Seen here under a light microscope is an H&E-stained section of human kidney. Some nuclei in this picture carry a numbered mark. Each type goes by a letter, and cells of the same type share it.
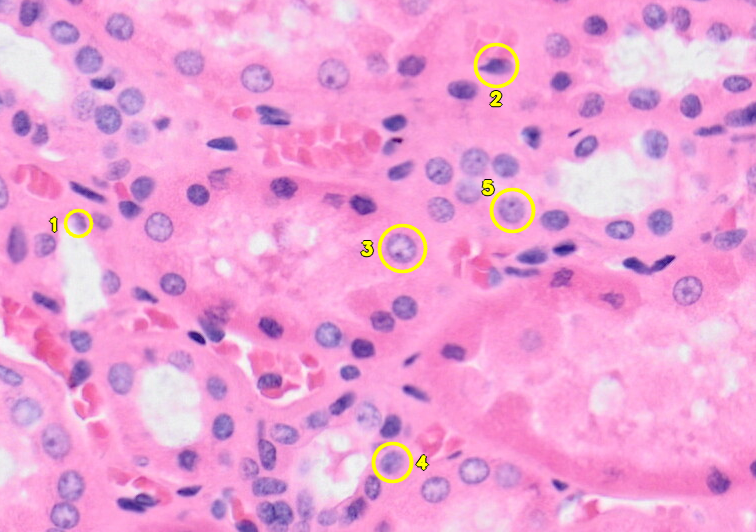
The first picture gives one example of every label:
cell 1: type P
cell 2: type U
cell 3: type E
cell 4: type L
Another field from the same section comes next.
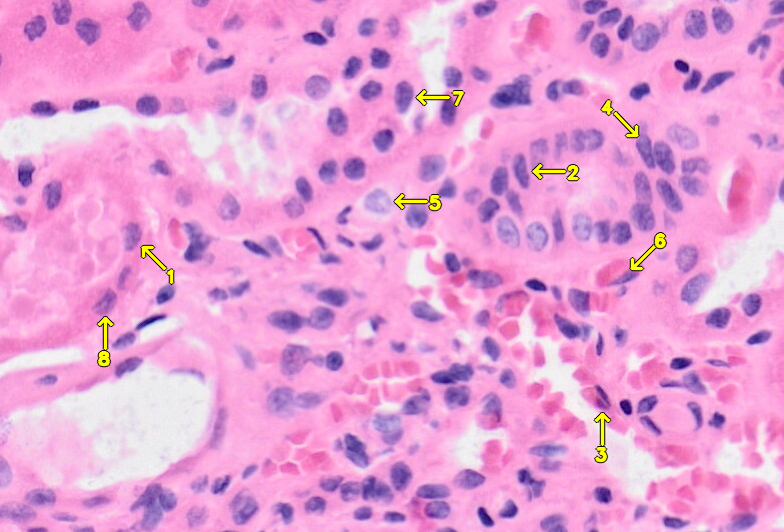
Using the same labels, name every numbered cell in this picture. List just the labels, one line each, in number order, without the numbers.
type E
type L
type U
type L
type P
type U
type P
type E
